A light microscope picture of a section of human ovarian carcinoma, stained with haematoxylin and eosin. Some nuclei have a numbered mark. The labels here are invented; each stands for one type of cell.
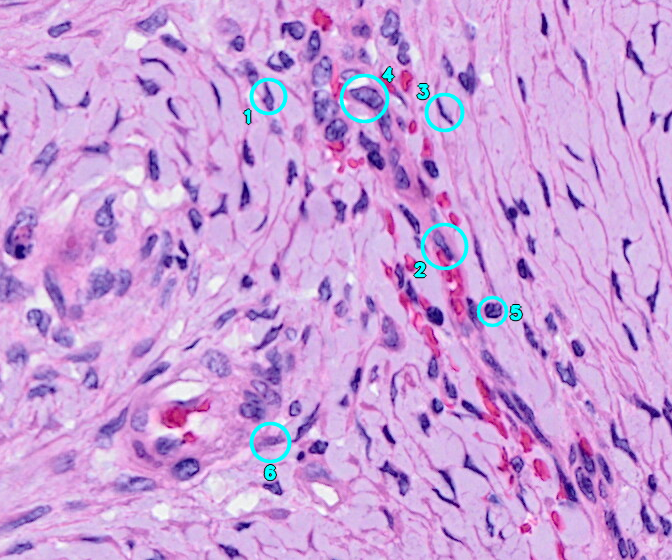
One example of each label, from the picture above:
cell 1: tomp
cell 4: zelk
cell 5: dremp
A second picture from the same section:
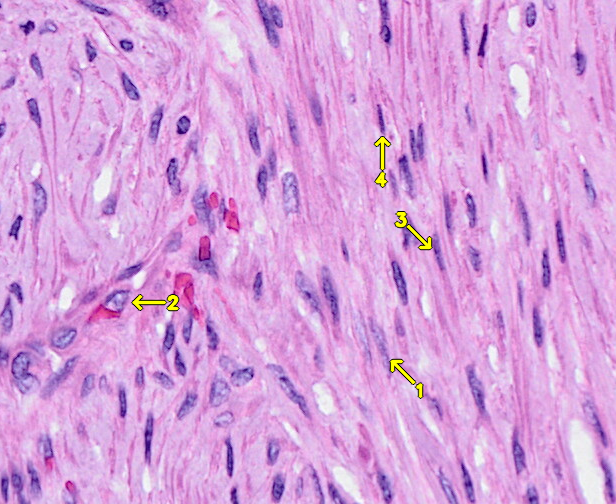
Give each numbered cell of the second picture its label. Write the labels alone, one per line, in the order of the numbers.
tomp
zelk
tomp
tomp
